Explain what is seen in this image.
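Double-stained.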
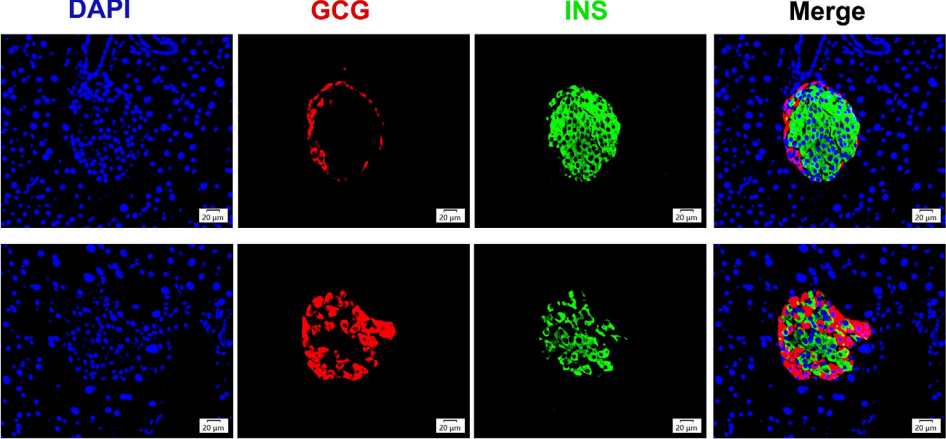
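Pancreatic islets in two rows, each shown as blue nuclear, red, green and merged images. Each islet is a rounded, compact cluster of closely packed cells set within surrounding tissue whose nuclei are more widely spaced. In the top row the green cells fill most of the islet core and the red cells form a thin, partly broken rim at the periphery. In the bottom row the red cells are far more abundant, occupy a large part of the islet and extend into its interior, while the green cells are fewer and more patchy. In the merged images the nuclei of the islet cells appear as blue dots within the red and green cytoplasm.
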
